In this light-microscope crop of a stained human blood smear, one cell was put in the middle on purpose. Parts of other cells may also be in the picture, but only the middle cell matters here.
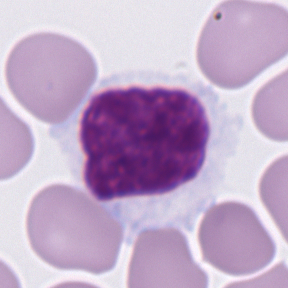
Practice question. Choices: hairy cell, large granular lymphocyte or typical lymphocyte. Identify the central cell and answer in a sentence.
Positioned in the middle of the crop is a hairy cell.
